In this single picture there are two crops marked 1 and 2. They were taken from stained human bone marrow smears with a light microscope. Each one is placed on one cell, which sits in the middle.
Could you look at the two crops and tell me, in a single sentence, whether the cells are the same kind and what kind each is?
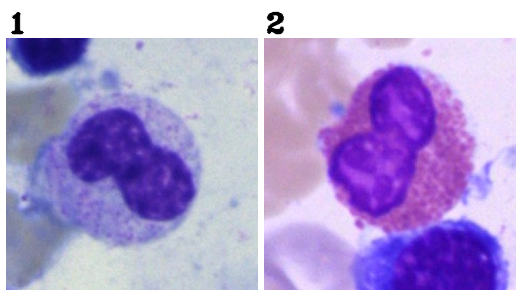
No, the cell at the middle of crop 1 is a band neutrophil, while crop 2 centres on an eosinophil.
